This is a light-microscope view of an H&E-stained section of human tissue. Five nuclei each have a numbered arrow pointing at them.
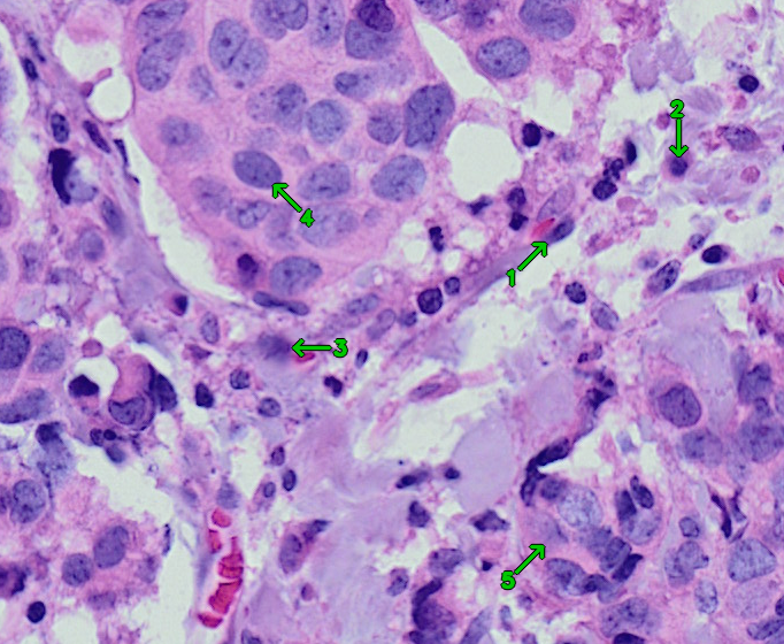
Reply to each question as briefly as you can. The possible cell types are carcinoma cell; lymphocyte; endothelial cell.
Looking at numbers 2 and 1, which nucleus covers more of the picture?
1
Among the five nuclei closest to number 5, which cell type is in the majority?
carcinoma cell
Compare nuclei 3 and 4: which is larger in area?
4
